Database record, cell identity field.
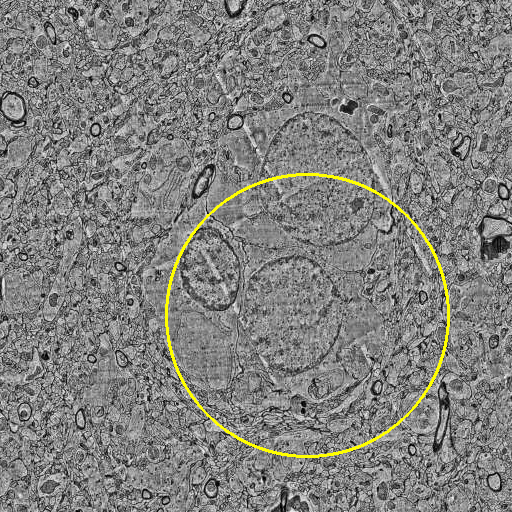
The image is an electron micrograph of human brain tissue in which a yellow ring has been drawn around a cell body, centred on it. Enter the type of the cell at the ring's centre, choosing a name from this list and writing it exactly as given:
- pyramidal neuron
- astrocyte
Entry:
astrocyte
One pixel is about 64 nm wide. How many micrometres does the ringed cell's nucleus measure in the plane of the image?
The nucleus is approximately 7 micrometers across in this plane.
